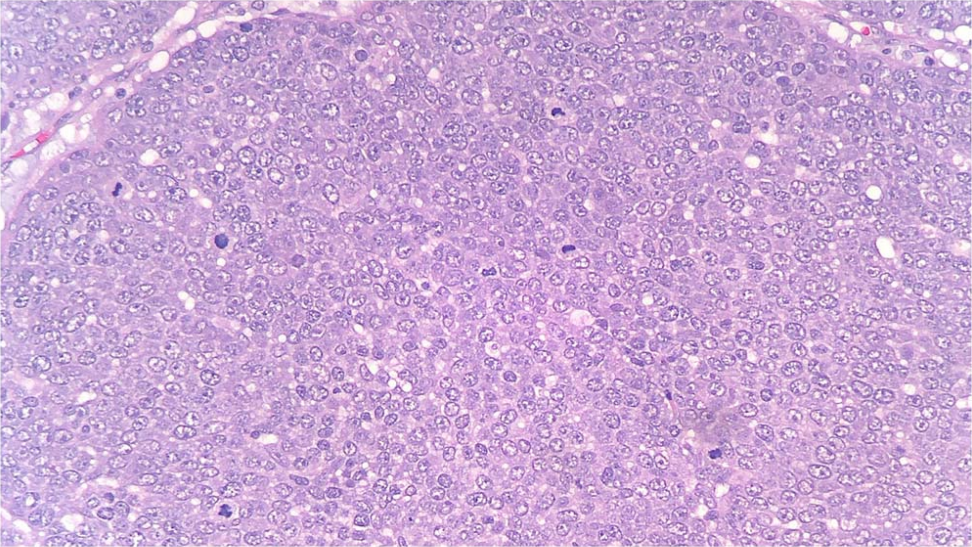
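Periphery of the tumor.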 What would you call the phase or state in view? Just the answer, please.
Mitotic figures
